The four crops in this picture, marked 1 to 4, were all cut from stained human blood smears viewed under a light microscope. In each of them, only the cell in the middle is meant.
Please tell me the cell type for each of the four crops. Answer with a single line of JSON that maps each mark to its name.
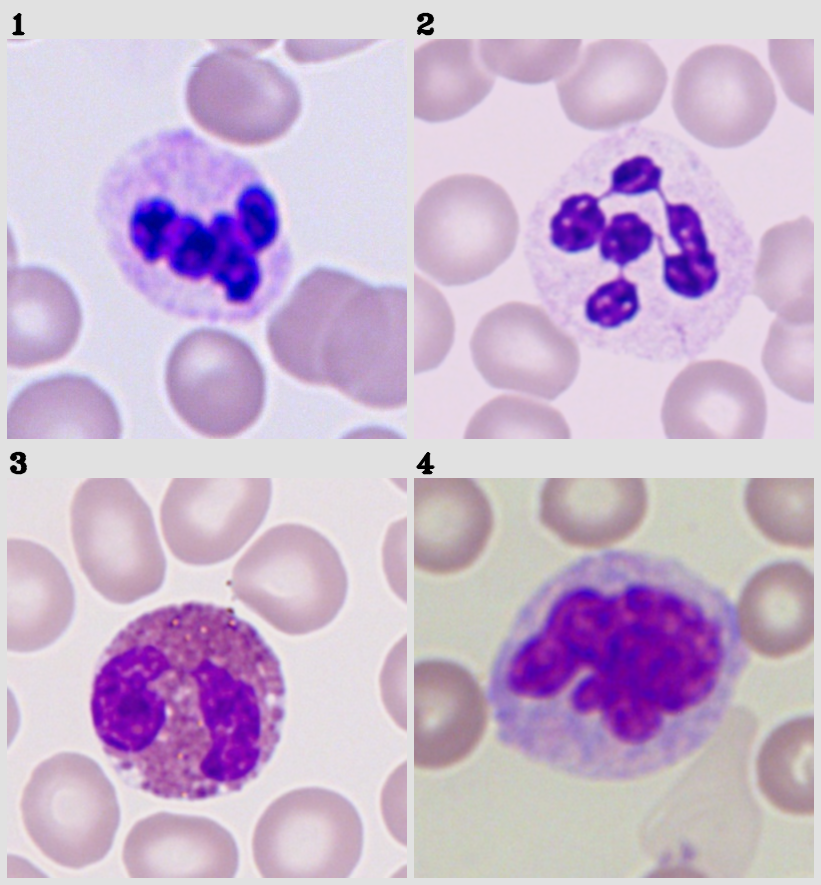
{"1": "neutrophil", "2": "neutrophil", "3": "eosinophil", "4": "monocyte"}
